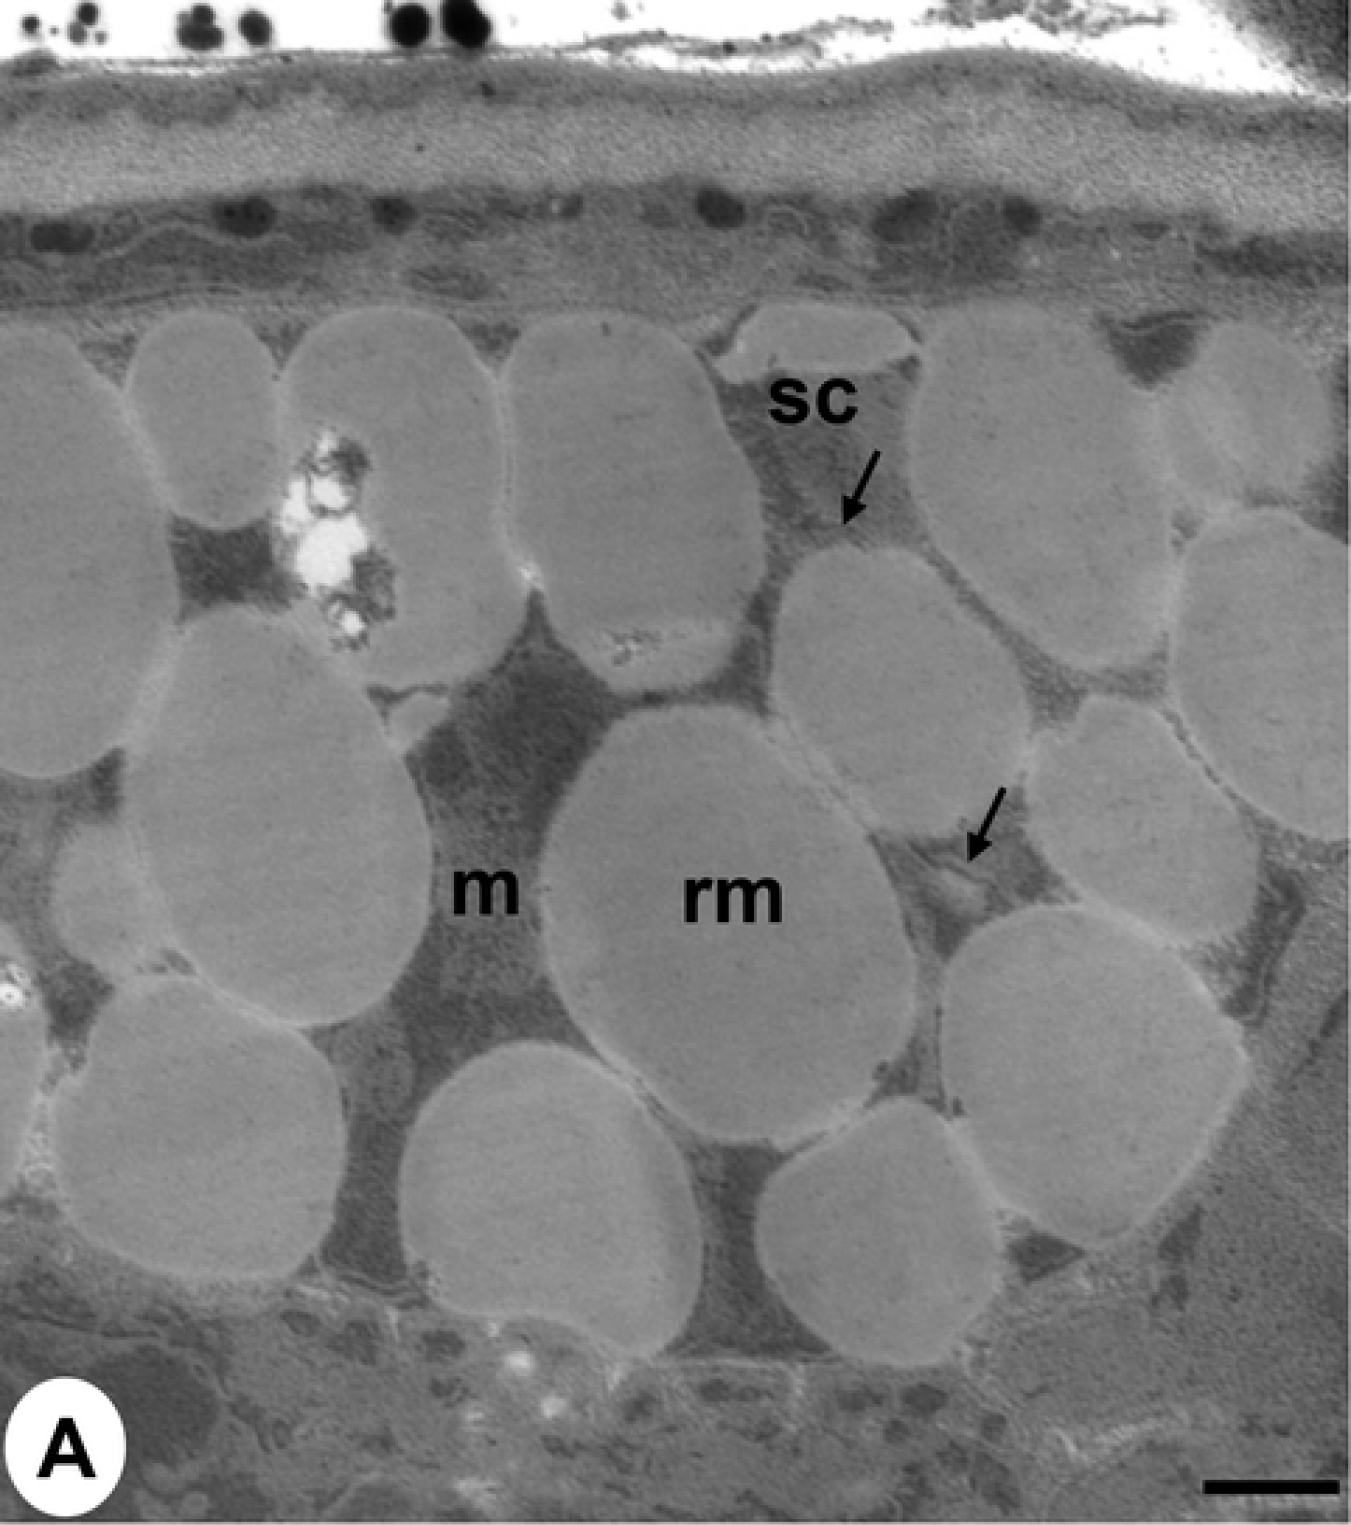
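Storage cells are packed with large, smooth, oval granules of reserve material that fill most of the cell. Between the granules lies a darker, intact cytoplasm containing mitochondria and flattened cisternae of rough endoplasmic reticulum, and layered body wall runs along the top.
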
